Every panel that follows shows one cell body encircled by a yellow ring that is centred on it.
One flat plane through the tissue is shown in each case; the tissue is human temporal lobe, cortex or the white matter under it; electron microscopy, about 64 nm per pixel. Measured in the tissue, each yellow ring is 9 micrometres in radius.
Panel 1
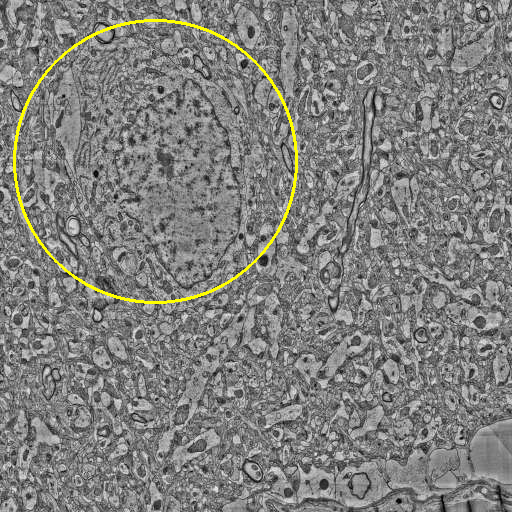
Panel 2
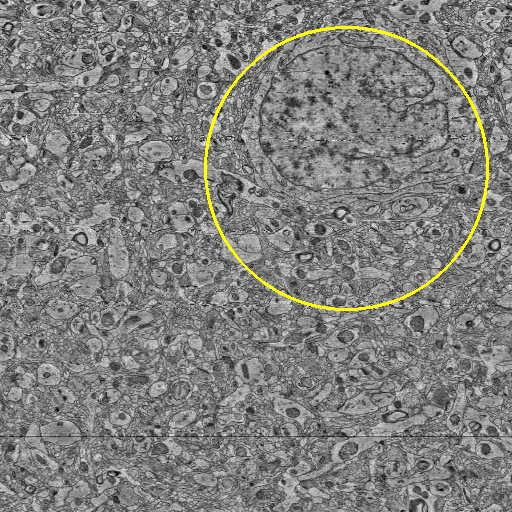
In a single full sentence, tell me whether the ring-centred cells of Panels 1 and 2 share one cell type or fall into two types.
In Panel 1 and Panel 2, the cells at the ring centres share one cell type.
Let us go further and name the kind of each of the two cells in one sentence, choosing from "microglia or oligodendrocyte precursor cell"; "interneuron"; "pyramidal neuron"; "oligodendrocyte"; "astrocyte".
Each of the two rings is centred on an interneuron.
